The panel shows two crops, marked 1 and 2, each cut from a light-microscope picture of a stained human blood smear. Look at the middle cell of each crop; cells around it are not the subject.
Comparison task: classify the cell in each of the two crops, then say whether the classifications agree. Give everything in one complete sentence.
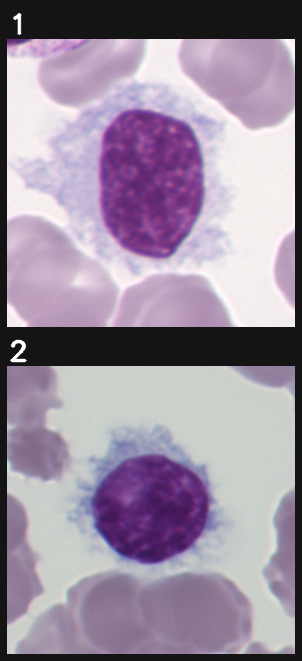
Yes, both crops feature hairy cells at the centre.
